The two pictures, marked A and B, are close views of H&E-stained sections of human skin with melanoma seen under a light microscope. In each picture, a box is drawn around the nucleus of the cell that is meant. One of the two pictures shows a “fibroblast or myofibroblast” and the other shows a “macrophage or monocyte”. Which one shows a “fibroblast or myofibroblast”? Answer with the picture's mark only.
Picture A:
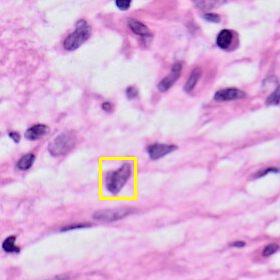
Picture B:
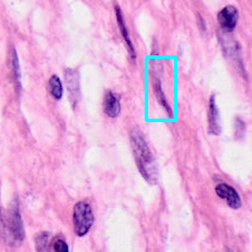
B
